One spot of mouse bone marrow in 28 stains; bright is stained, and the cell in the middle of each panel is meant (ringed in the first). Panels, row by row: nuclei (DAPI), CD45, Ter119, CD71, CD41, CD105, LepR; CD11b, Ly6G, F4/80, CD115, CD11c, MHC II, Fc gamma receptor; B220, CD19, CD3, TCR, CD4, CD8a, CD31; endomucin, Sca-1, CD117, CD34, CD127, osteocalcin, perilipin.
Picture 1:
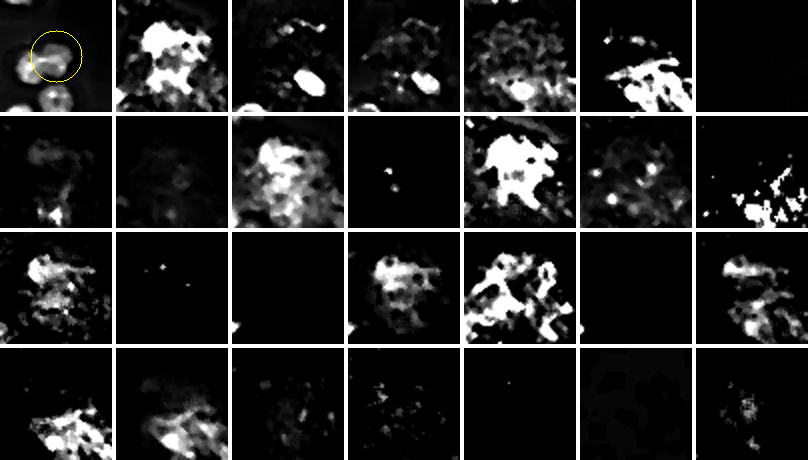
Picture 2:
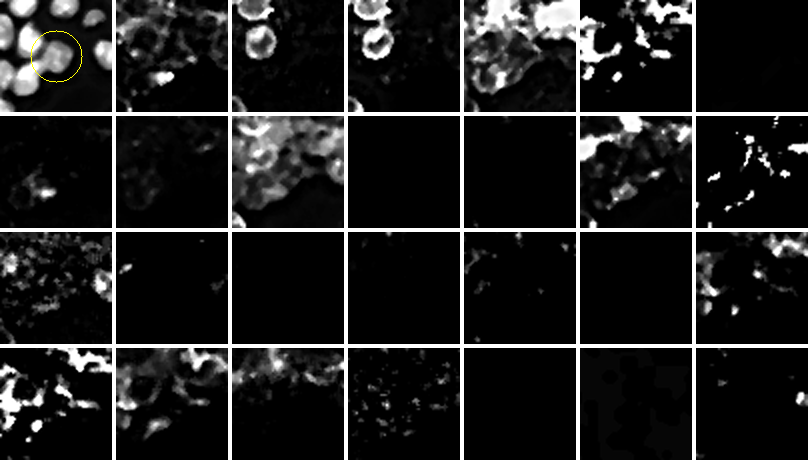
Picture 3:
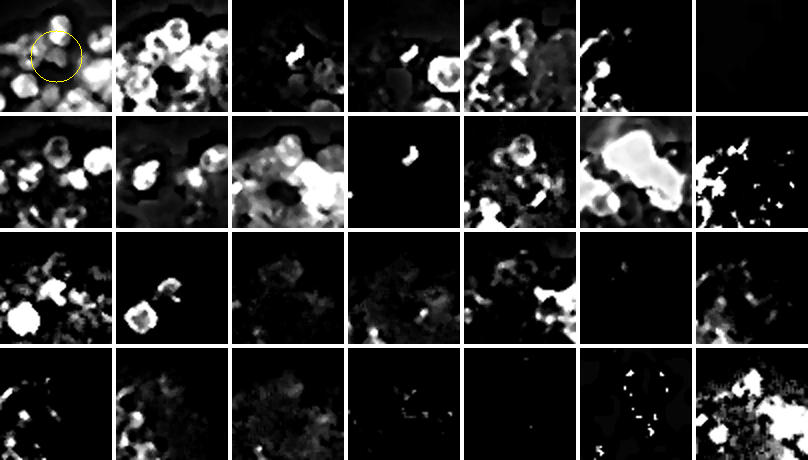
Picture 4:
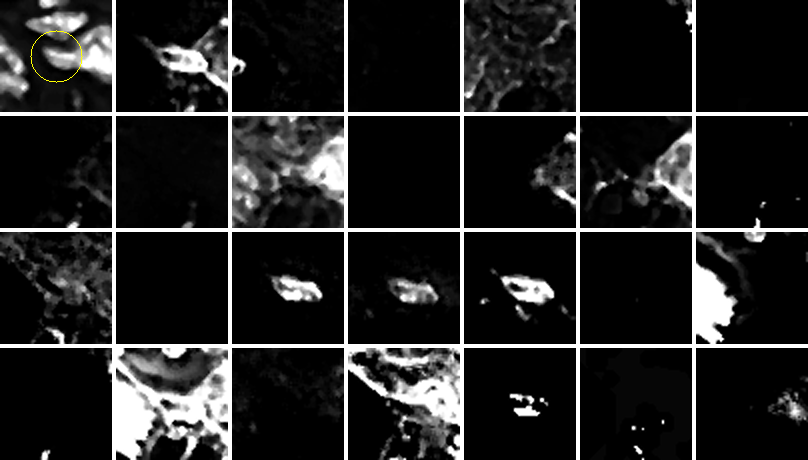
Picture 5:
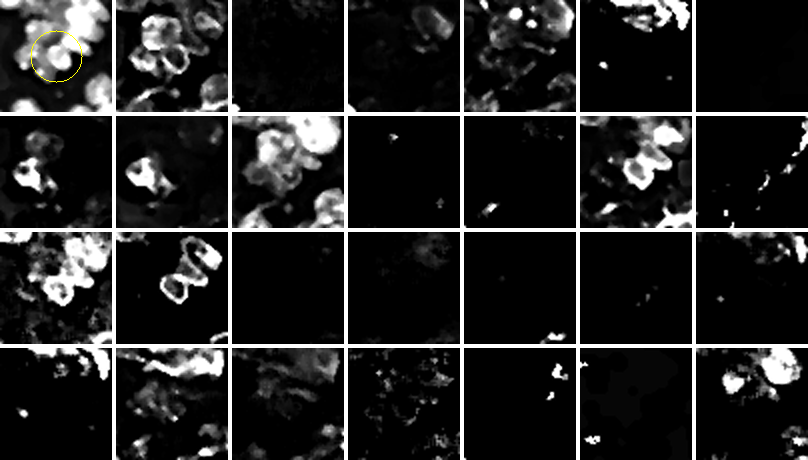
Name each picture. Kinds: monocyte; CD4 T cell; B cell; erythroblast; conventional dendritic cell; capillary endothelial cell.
1. conventional dendritic cell
2. capillary endothelial cell
3. B cell
4. CD4 T cell
5. B cell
